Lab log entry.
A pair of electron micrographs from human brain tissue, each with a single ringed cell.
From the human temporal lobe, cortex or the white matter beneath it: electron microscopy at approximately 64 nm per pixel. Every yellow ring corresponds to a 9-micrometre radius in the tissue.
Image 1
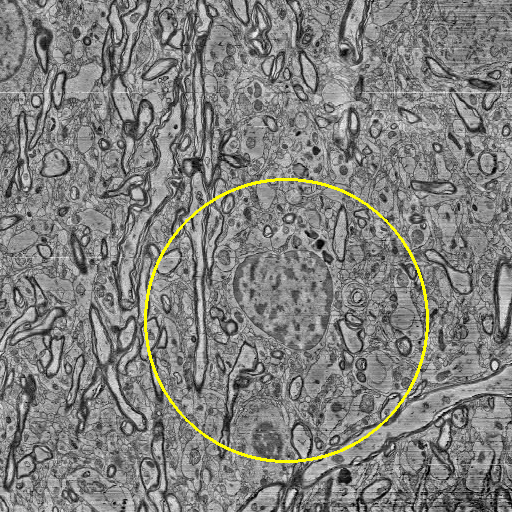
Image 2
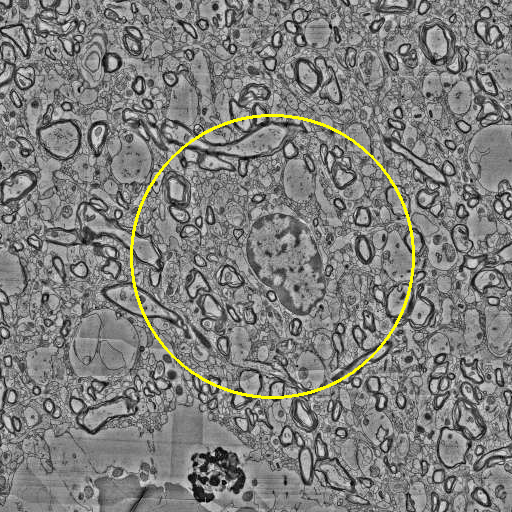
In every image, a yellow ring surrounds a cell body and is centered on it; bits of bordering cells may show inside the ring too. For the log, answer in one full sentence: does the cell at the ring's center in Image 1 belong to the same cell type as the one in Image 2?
Yes, the cells at the ring centers in Image 1 and Image 2 share one type.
